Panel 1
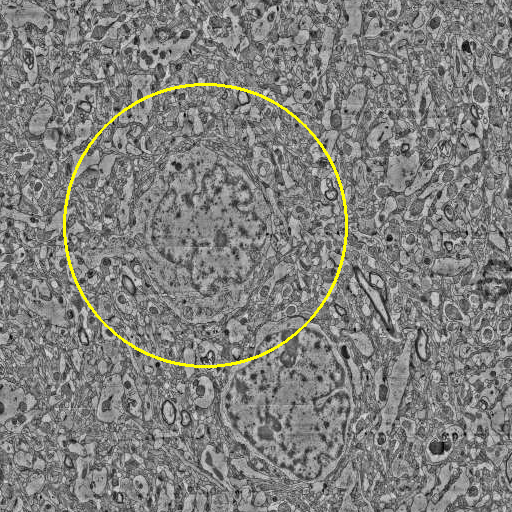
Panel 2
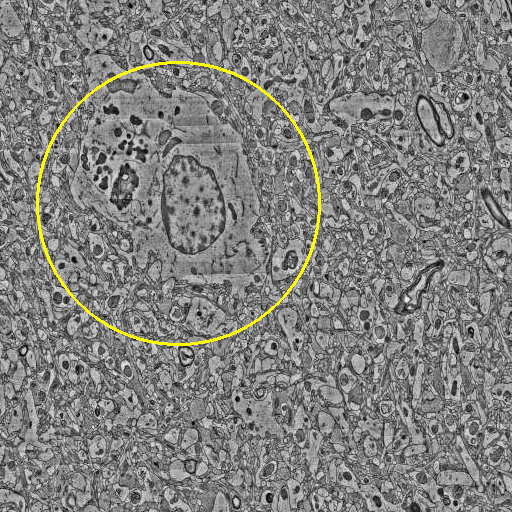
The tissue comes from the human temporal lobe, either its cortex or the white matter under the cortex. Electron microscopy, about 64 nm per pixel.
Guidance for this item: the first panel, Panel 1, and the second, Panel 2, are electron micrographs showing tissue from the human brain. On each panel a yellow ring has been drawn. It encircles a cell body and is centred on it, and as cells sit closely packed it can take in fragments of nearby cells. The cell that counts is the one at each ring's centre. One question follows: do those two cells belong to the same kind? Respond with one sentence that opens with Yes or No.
No, the cells at the ring centres in Panel 1 and Panel 2 are of two kinds.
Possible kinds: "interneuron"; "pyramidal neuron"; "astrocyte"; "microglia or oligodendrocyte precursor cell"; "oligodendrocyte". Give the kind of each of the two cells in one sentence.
The cell in the second picture is an astrocyte, and that in the first is an interneuron.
